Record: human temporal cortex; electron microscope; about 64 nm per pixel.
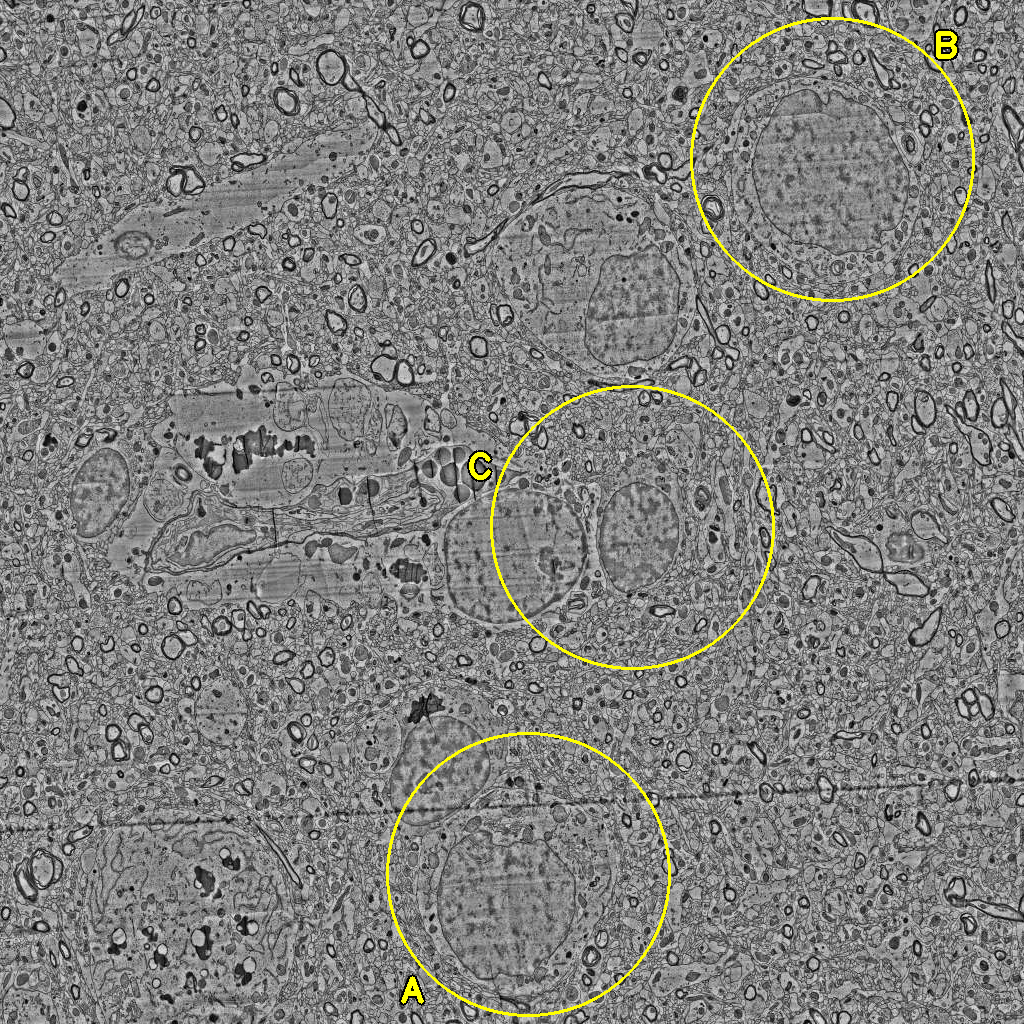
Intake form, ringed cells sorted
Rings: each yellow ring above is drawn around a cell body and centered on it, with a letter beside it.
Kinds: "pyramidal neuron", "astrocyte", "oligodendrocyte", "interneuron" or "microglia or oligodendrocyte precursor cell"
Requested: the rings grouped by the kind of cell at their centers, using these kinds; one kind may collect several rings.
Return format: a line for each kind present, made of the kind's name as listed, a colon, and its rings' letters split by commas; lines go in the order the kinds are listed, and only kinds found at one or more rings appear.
pyramidal neuron: A, B
oligodendrocyte: C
